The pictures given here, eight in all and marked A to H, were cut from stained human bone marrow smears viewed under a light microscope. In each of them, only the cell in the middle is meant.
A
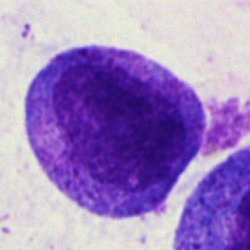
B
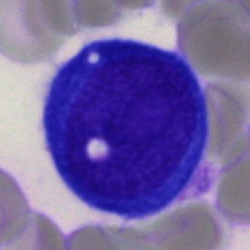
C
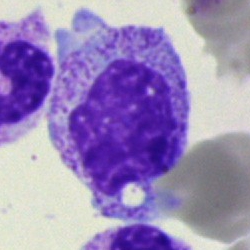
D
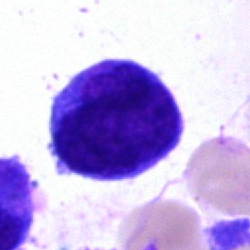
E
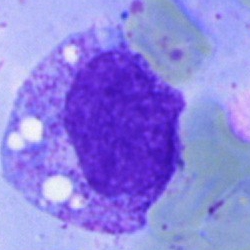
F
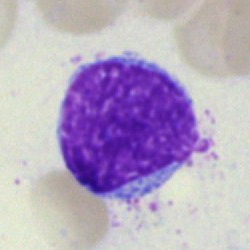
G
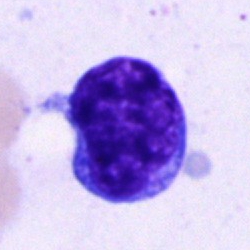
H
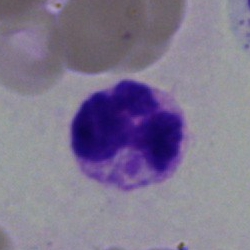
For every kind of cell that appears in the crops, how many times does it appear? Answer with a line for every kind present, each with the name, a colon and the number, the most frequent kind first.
blast: 4
myelocyte: 3
basophil: 1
